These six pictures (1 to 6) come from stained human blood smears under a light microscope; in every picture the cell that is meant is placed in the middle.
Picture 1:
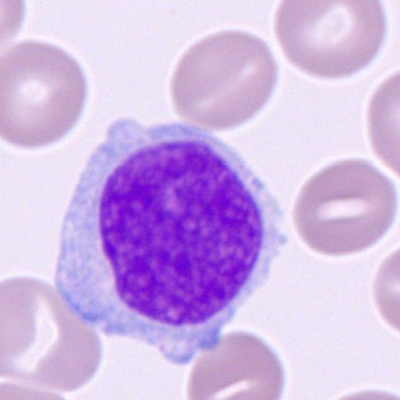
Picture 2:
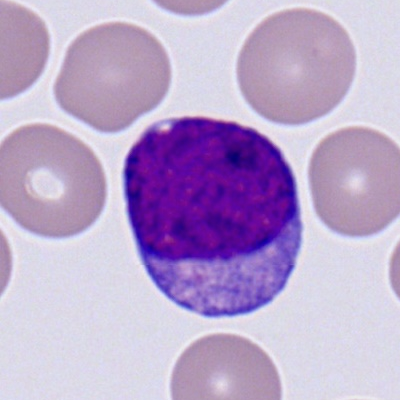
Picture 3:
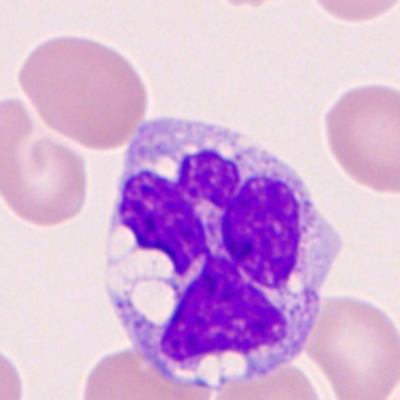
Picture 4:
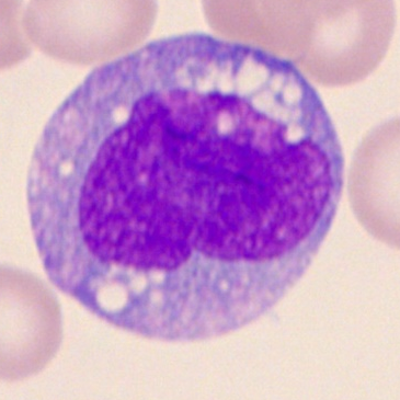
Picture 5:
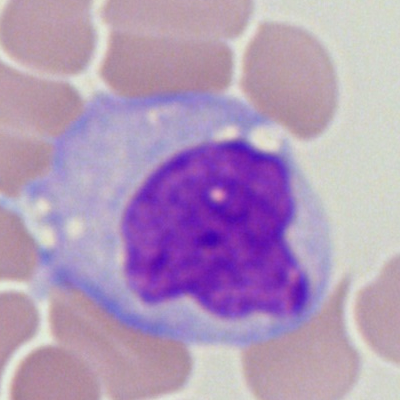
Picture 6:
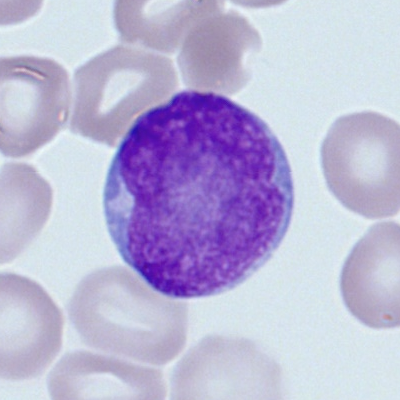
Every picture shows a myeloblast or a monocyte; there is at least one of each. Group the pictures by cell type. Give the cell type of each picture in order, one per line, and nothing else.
myeloblast
myeloblast
monocyte
monocyte
monocyte
myeloblast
